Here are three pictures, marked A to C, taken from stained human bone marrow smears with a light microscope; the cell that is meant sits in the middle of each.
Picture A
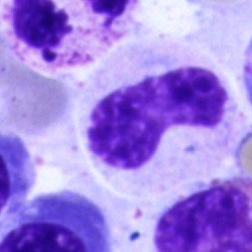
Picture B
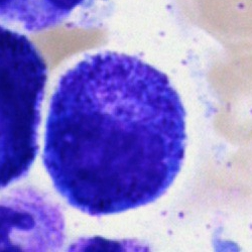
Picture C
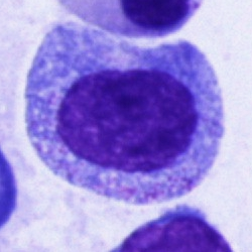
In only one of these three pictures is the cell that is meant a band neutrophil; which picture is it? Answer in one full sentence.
The band neutrophil is the one in picture A.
